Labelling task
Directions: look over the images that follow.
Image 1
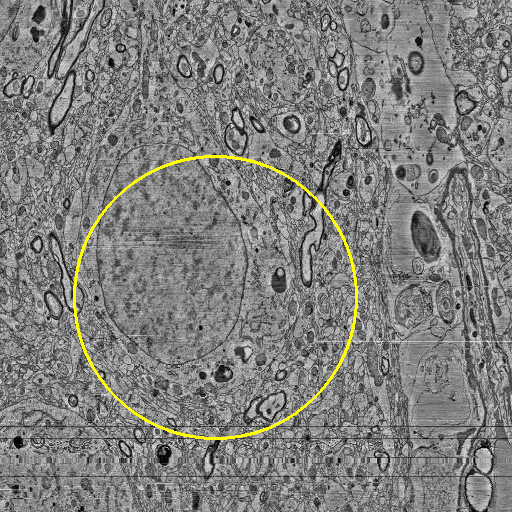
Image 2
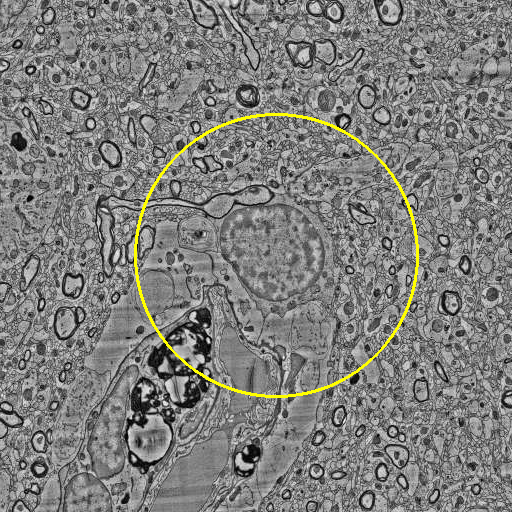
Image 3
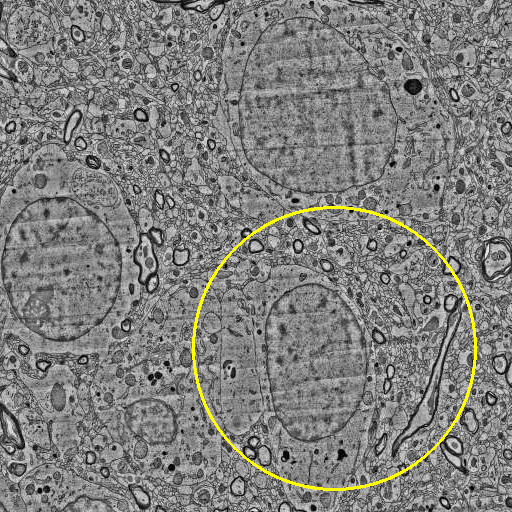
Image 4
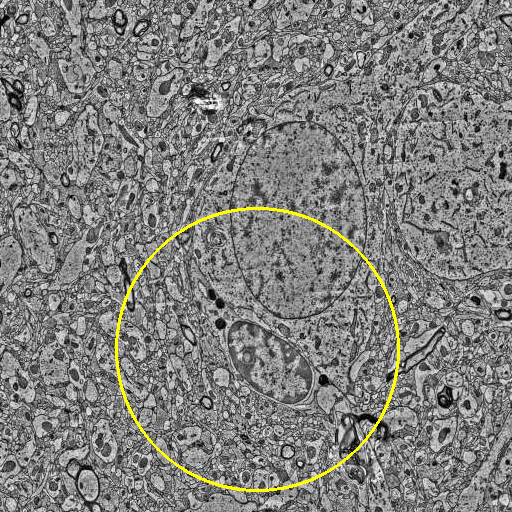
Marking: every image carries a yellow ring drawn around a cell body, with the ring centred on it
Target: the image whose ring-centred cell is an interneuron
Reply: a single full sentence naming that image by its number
The requested cell sits at the ring's centre in Image 3.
